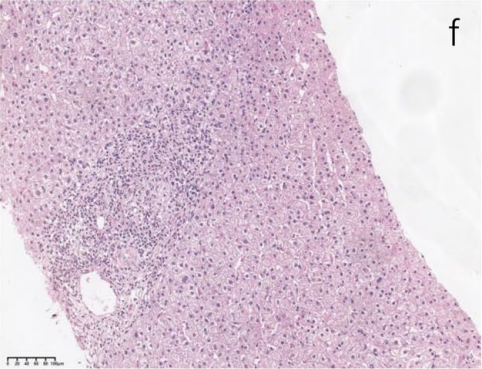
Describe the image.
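This is liver tissue in which a portal tract is infiltrated by inflammatory cells and surrounded by hepatocytes. The hepatocytes are large polygonal cells with pink cytoplasm and round central nuclei, arranged in plates and cords. Left of centre lies a dense, ill-defined aggregate of small cells with dark purple, round nuclei and scant cytoplasm. The aggregate spreads into the neighbouring parenchyma. A small round, empty vascular lumen lies at the lower edge of this infiltrate. The right side of the tissue ends at a free edge, with a white empty background beyond it.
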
